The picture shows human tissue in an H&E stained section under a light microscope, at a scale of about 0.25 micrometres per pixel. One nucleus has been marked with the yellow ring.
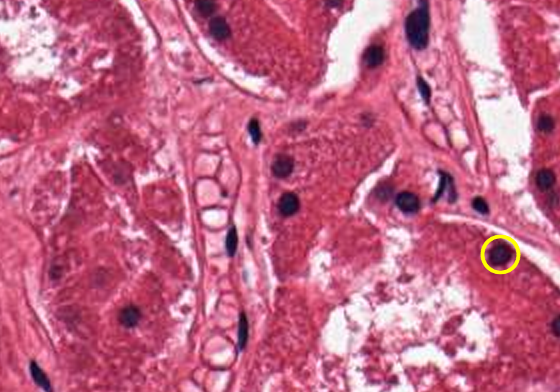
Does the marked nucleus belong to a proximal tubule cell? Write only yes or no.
yes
